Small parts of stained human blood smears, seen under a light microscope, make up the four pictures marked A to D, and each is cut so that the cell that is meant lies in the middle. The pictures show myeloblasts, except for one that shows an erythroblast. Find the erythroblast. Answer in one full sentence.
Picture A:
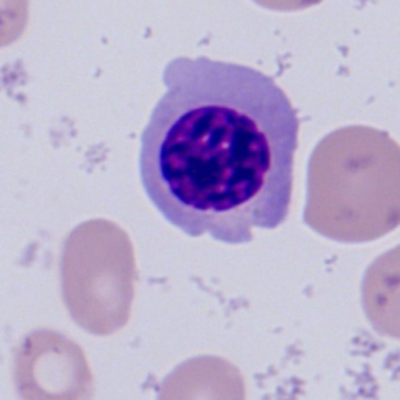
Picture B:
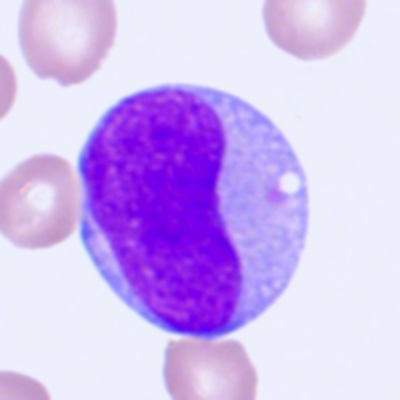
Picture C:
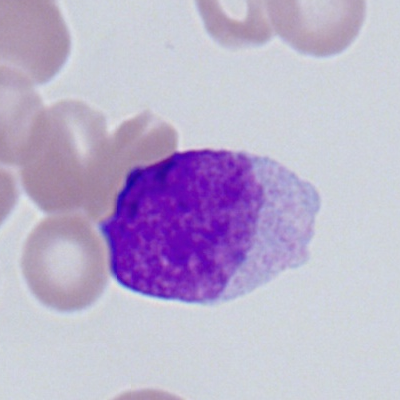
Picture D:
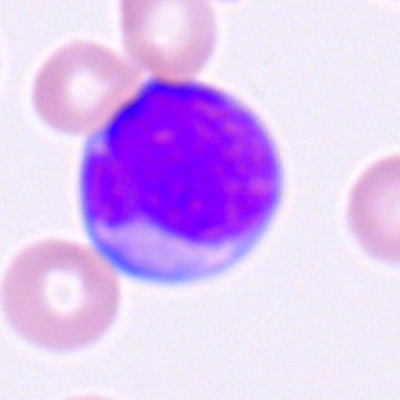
It is picture A that shows the erythroblast.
